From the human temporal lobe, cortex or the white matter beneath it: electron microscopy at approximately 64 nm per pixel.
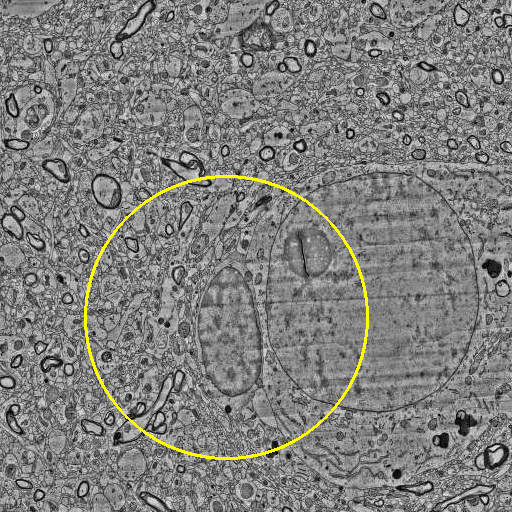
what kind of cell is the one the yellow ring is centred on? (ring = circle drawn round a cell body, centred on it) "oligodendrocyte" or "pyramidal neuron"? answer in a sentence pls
The ring is drawn around an oligodendrocyte.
